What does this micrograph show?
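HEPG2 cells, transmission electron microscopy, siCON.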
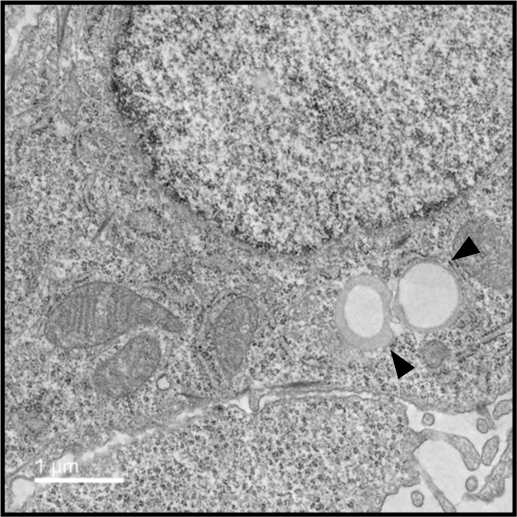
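Below the nucleus the cytoplasm holds several mitochondria with visible cristae. The lower edge shows the plasma membrane with small projections bordering extracellular space.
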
